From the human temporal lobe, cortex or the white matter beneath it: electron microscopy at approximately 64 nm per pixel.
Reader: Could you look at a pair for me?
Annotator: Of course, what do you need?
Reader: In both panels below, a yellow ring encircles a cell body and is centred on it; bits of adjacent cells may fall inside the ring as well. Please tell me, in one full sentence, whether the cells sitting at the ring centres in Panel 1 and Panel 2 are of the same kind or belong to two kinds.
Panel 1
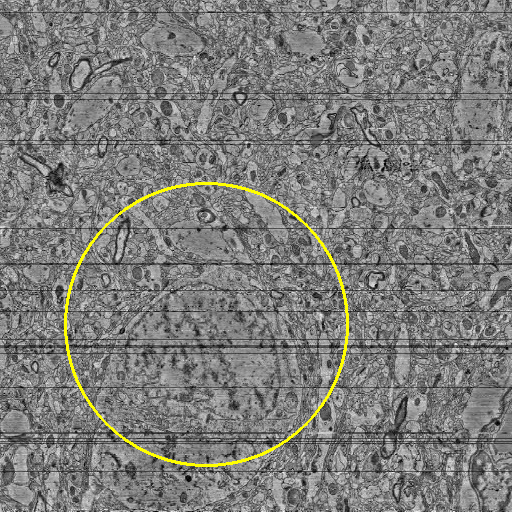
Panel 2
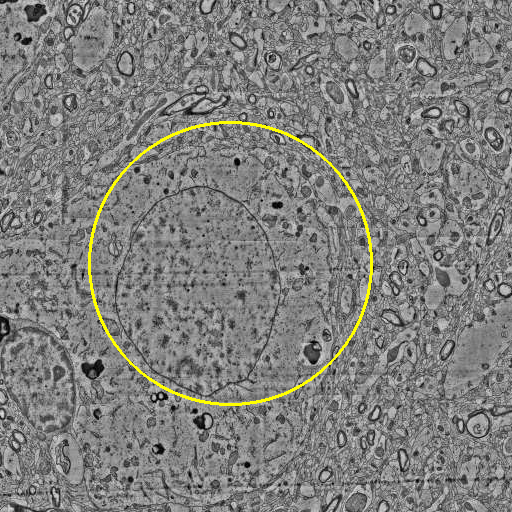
The cell at the ring's centre in Panel 1 and the one in Panel 2 belong to two kinds.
